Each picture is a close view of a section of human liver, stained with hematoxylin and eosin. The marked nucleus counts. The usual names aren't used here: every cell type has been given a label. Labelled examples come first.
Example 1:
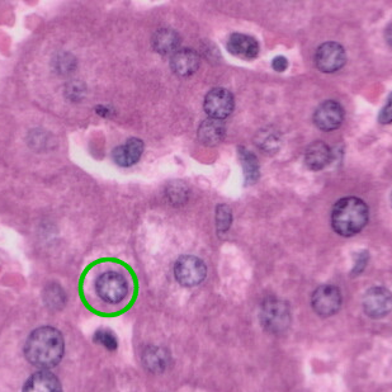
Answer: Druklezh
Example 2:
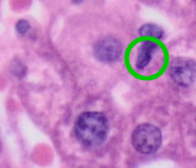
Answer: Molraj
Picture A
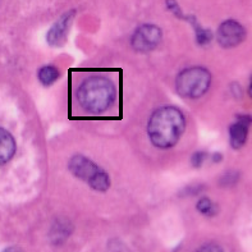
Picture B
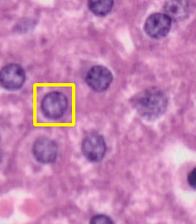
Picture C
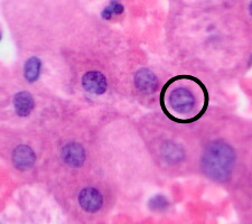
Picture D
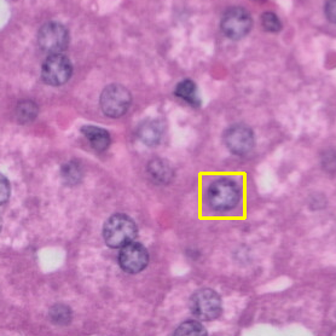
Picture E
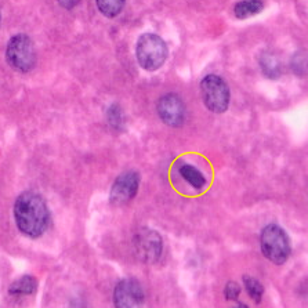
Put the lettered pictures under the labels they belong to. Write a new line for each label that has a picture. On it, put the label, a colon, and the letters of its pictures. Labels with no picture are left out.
Druklezh: A, B, C, D
Molraj: E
